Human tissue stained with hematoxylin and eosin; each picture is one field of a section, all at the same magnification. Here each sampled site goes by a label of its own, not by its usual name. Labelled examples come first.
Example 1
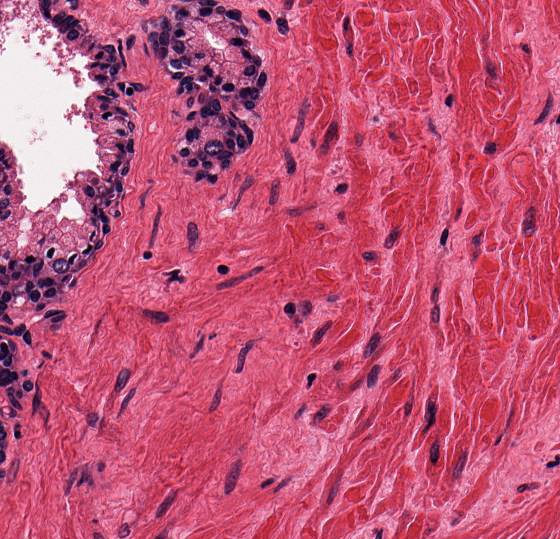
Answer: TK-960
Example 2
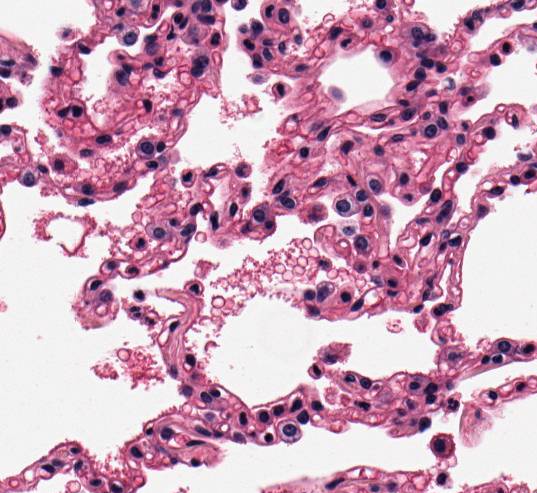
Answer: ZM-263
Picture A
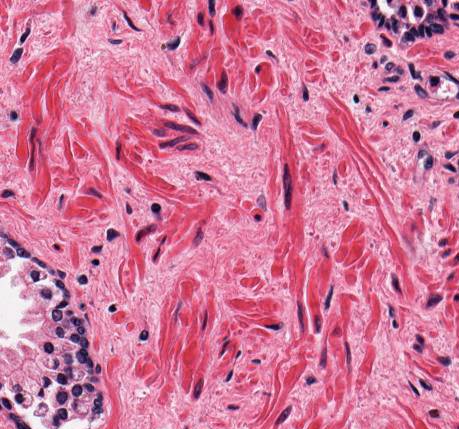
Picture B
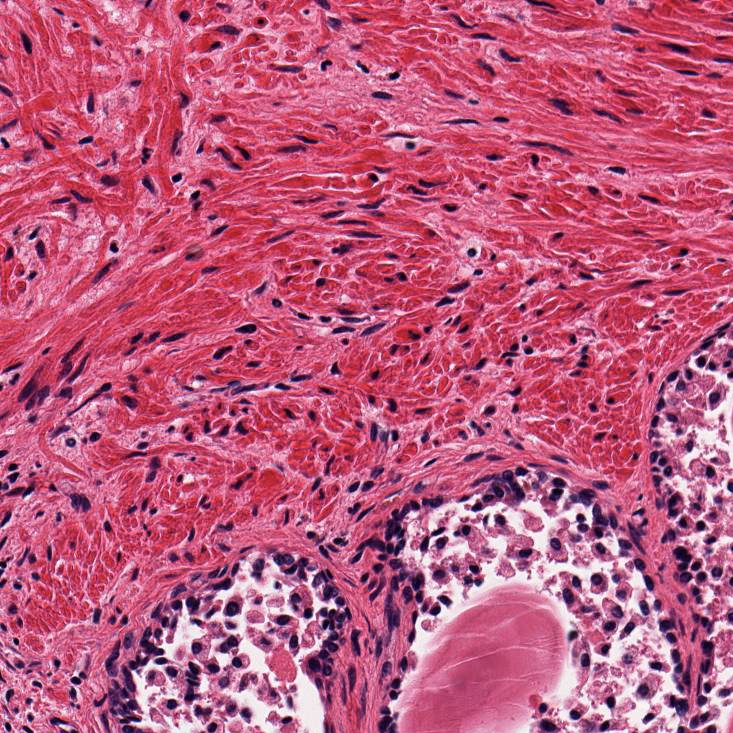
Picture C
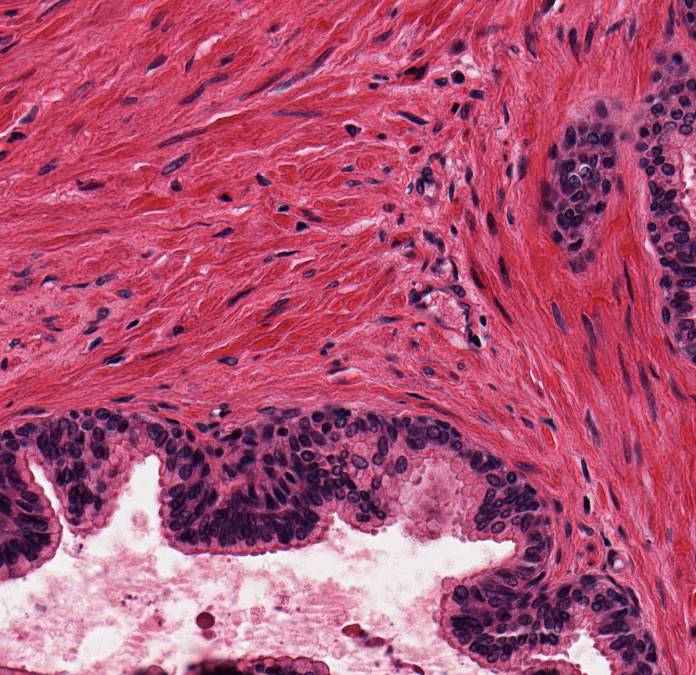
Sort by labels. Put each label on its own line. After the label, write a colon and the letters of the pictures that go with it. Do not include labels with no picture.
TK-960: A, B, C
